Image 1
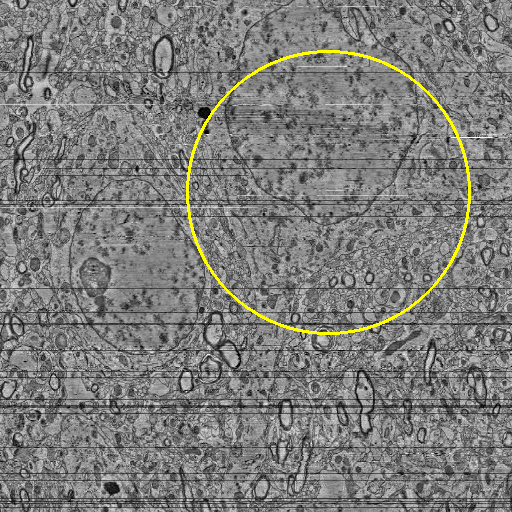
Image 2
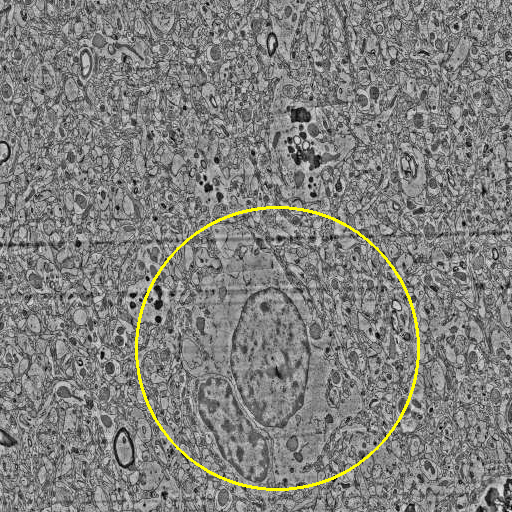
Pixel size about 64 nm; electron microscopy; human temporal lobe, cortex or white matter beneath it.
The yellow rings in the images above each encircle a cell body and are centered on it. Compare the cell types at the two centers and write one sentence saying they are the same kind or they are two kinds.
Taken together, the two cells at the ring centers are two kinds.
